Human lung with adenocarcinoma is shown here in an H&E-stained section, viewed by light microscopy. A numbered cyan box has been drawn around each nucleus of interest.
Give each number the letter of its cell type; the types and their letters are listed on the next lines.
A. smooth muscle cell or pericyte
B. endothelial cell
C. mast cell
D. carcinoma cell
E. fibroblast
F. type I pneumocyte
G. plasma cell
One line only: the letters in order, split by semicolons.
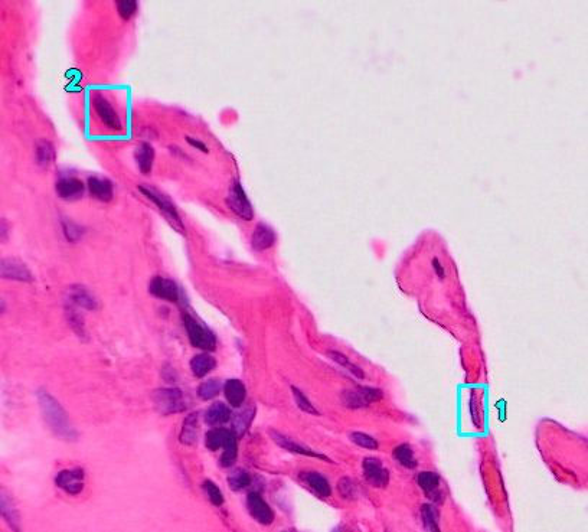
F; B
